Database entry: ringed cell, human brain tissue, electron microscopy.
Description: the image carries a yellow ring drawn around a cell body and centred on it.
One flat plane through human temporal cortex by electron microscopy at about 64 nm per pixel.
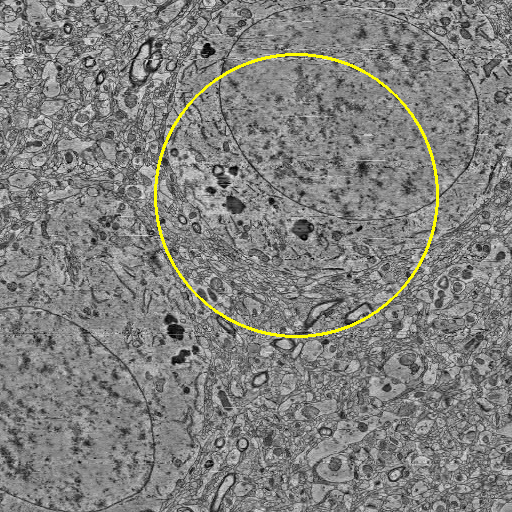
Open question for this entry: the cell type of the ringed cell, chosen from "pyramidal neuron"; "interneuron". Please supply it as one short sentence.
The ringed cell is a pyramidal neuron.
